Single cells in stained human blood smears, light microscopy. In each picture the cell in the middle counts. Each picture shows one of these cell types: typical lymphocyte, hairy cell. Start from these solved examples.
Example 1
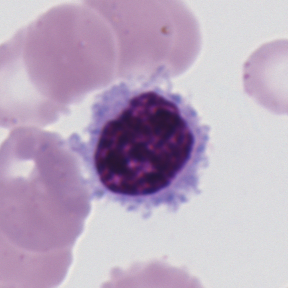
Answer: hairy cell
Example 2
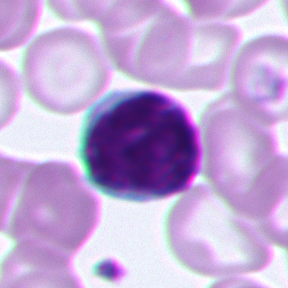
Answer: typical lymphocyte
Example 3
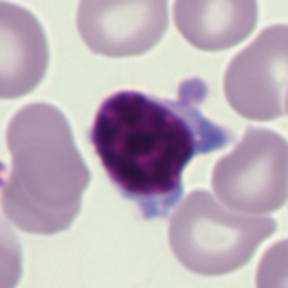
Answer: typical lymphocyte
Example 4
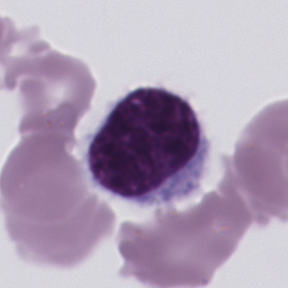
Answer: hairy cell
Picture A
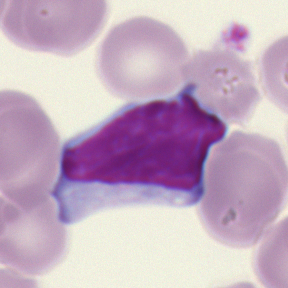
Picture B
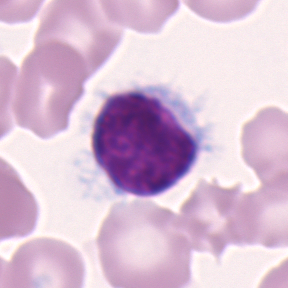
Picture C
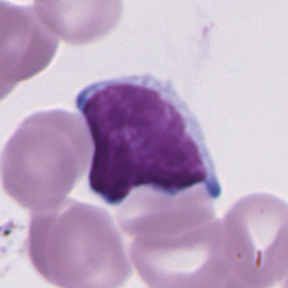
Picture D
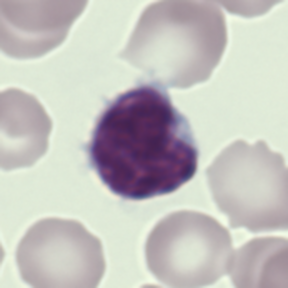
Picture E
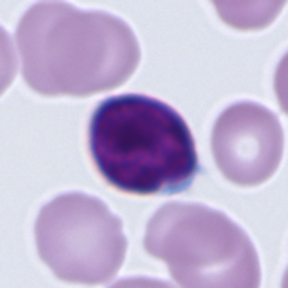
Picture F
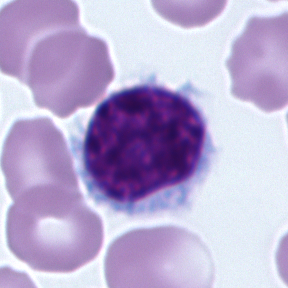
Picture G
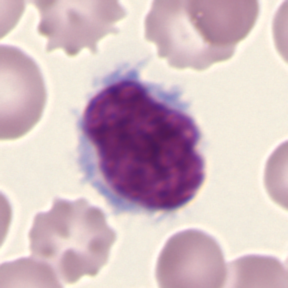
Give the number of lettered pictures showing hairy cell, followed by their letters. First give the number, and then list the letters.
Count: 4 (B, D, F, G)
